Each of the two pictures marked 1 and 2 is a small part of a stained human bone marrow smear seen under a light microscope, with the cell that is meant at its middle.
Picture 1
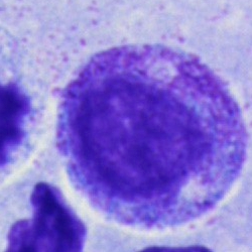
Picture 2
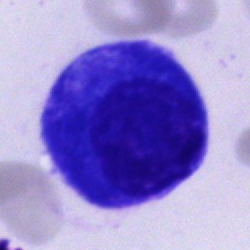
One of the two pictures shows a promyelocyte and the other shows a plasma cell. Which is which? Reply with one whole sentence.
Picture 2 shows a plasma cell, while picture 1 shows a promyelocyte.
